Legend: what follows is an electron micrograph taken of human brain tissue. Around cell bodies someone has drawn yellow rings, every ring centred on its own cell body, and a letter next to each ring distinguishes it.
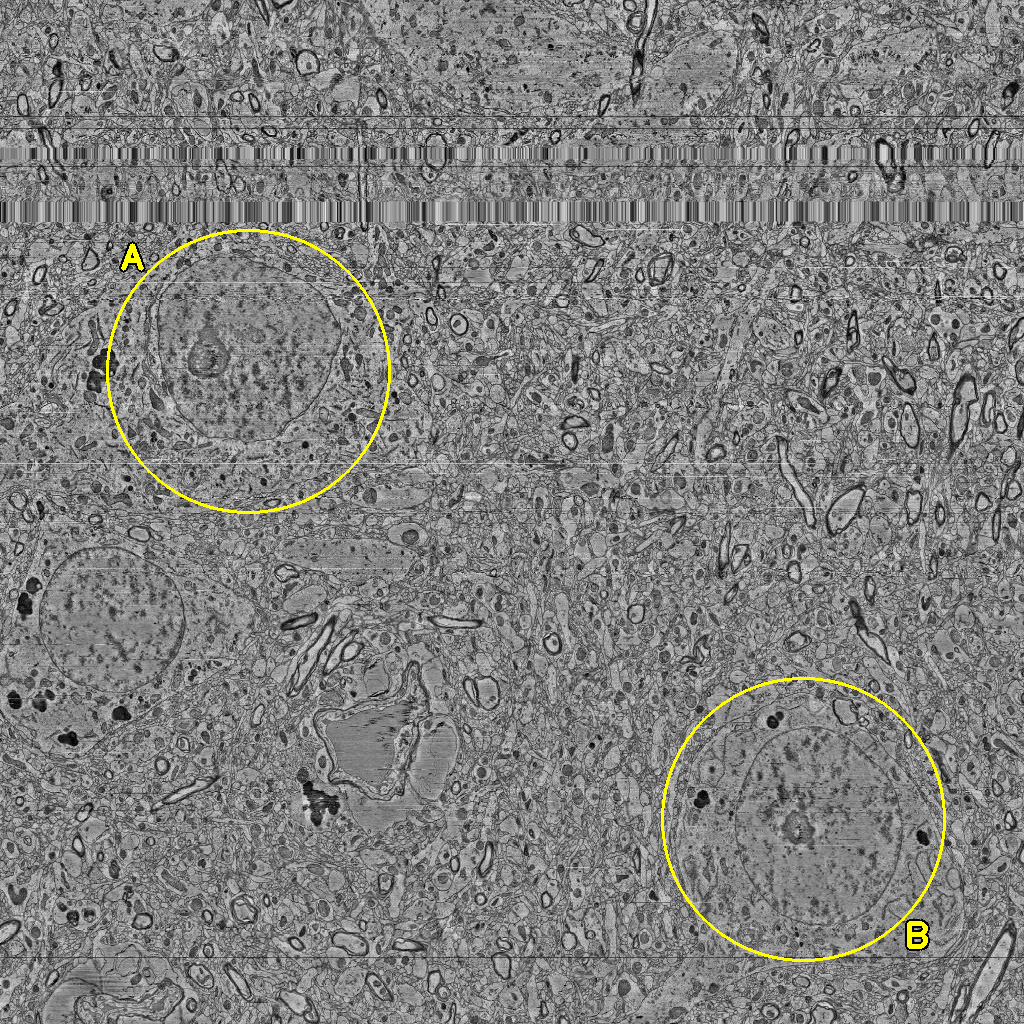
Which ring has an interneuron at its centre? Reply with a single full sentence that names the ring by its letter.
Ring A is the one centred on the cell asked for in the picture.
